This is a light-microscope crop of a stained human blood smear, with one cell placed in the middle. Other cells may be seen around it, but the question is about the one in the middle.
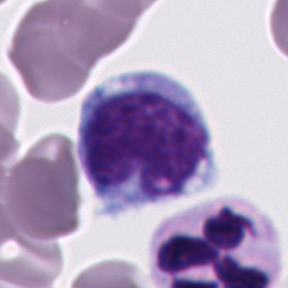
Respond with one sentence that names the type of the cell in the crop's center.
The cell at the middle of the frame should be recorded as a monocyte.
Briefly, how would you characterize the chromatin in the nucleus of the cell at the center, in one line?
The chromatin within its nucleus forms coarse clumps.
